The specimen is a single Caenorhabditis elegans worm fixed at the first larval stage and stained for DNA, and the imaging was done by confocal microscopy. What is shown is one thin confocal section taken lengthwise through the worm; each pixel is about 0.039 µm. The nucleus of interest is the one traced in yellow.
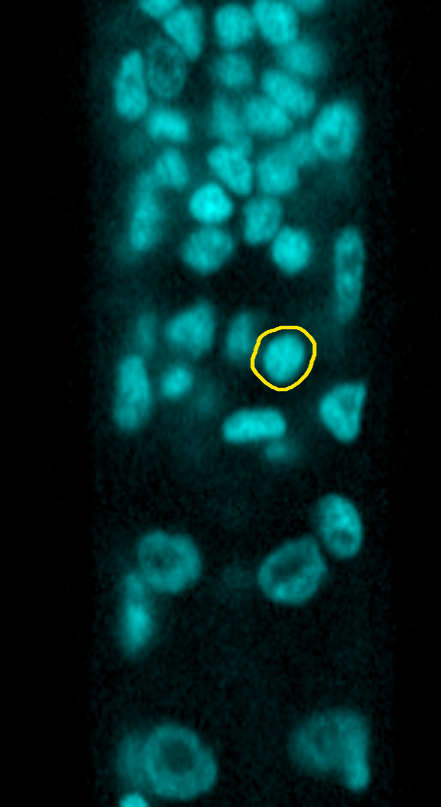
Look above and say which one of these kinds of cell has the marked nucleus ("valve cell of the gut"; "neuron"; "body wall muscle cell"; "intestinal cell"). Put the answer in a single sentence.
It is the nucleus of a neuron.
